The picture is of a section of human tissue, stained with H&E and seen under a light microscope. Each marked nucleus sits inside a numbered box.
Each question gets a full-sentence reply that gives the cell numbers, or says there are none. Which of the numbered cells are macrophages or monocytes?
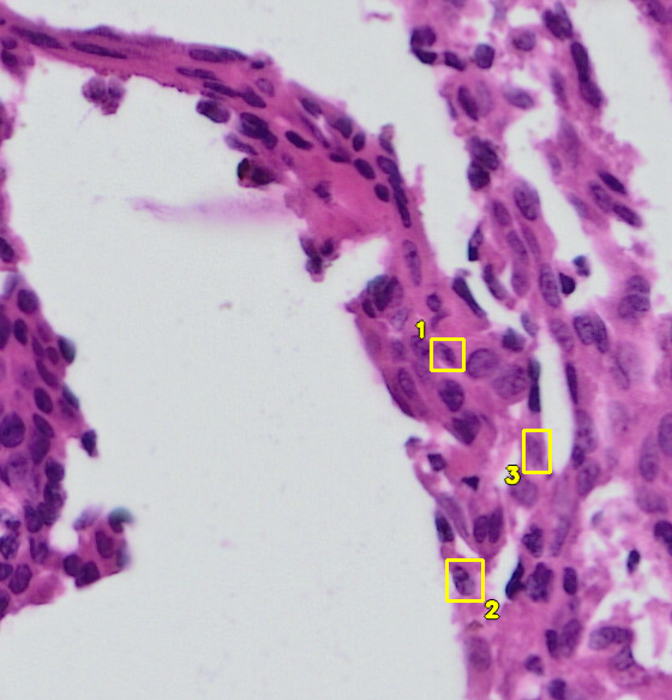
The cells with labels 1 and 2 are macrophages or monocytes.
